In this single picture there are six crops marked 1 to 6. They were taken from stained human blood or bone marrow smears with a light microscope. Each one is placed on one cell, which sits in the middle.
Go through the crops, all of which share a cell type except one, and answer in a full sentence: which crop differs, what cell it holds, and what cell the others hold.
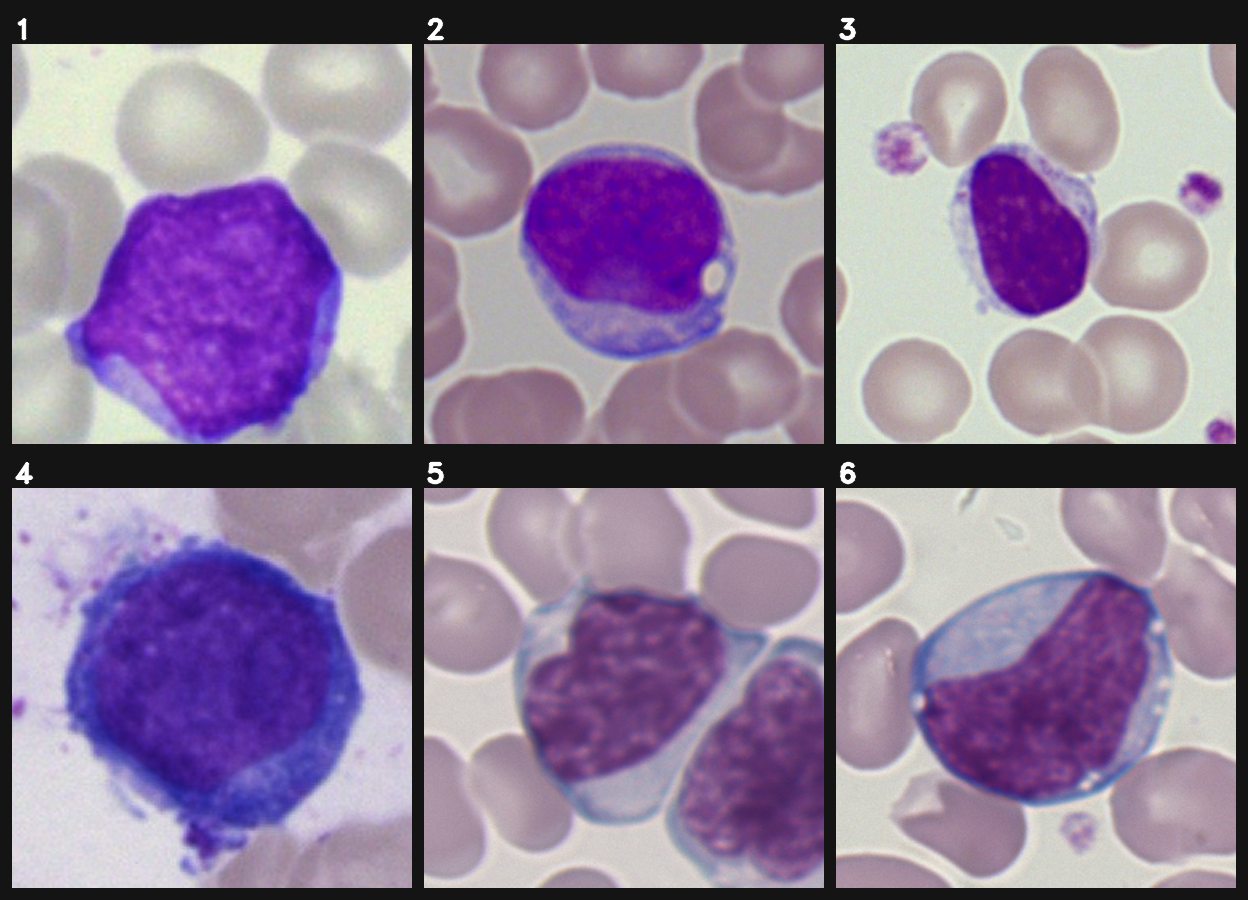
Only one crop differs, namely crop 3, which is a lymphocyte; the others show blasts.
